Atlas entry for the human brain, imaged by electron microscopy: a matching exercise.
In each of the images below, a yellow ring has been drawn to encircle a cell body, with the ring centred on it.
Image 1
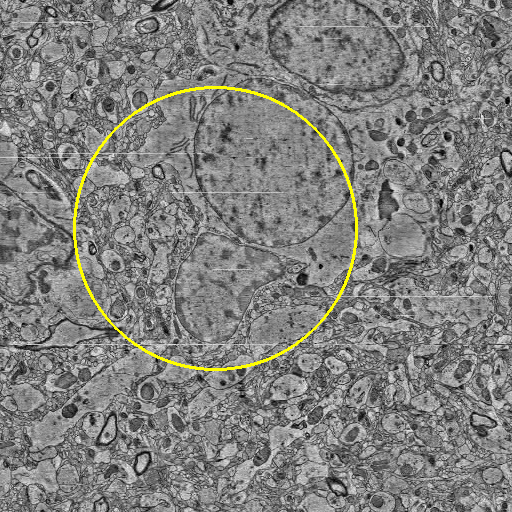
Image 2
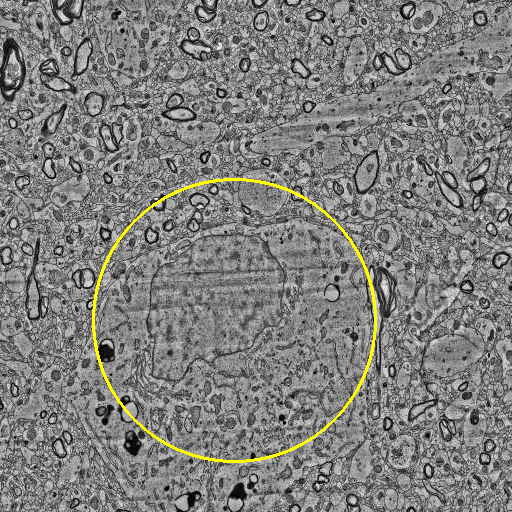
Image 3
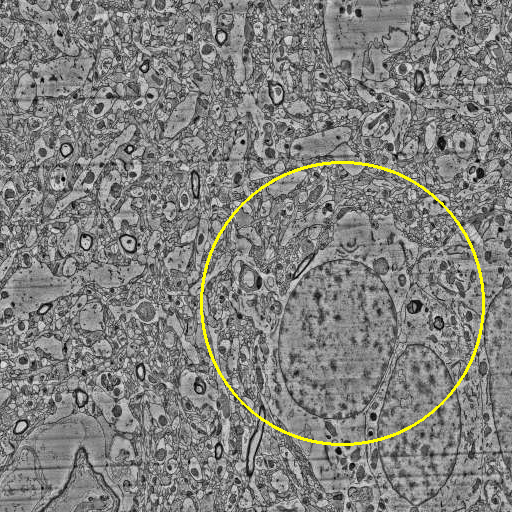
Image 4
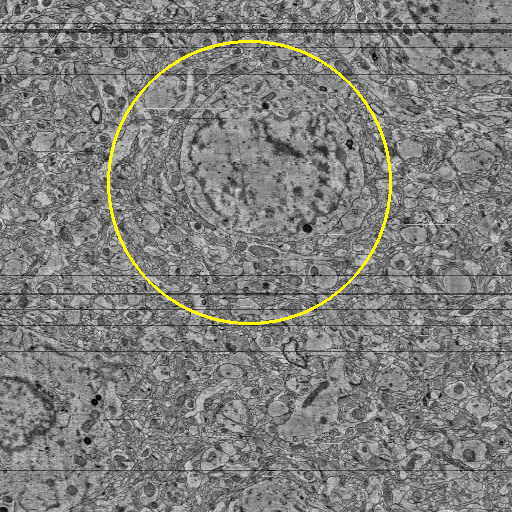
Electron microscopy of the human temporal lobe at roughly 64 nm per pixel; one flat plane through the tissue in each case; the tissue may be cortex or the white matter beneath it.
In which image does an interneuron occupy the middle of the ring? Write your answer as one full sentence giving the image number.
In image 4, the ring is centred on the cell in question.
